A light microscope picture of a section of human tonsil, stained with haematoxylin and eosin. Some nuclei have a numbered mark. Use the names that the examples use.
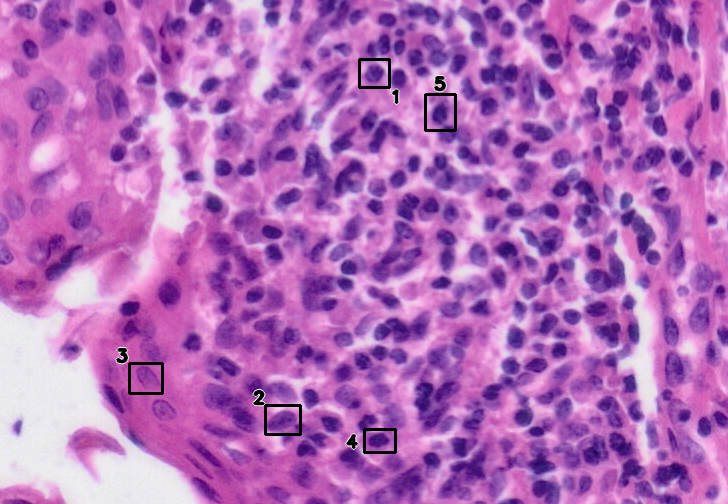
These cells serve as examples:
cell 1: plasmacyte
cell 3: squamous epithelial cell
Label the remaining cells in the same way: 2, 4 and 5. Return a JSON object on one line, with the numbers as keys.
{"2": "squamous epithelial cell", "4": "plasmacyte", "5": "plasmacyte"}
